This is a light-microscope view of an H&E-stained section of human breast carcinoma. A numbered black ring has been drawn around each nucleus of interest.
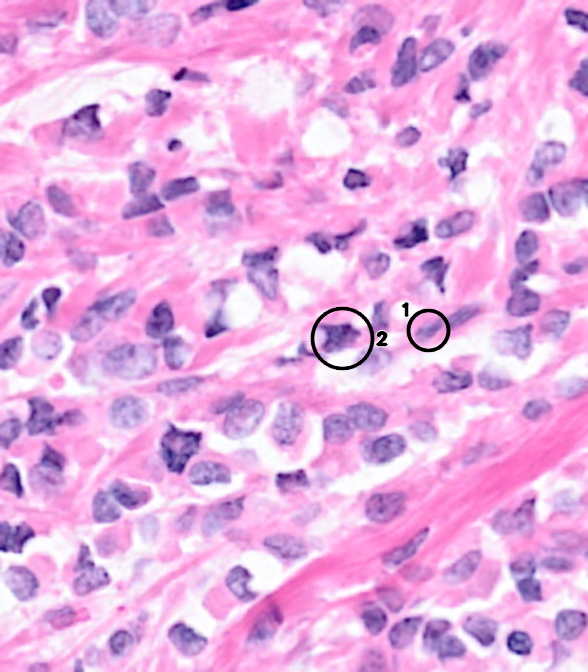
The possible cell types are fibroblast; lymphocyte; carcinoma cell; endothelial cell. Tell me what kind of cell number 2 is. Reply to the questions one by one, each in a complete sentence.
Cell 2 of the marked set is a carcinoma cell.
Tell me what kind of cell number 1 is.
The marked cell with the number 1 is recognised as an endothelial cell.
